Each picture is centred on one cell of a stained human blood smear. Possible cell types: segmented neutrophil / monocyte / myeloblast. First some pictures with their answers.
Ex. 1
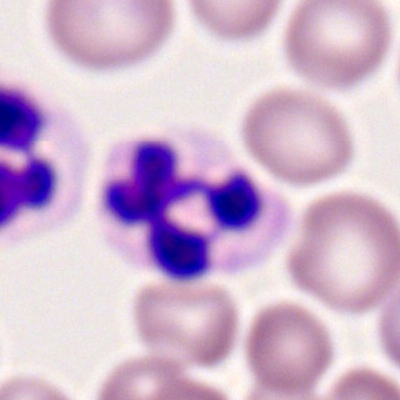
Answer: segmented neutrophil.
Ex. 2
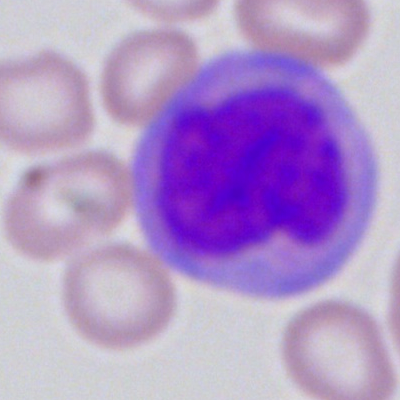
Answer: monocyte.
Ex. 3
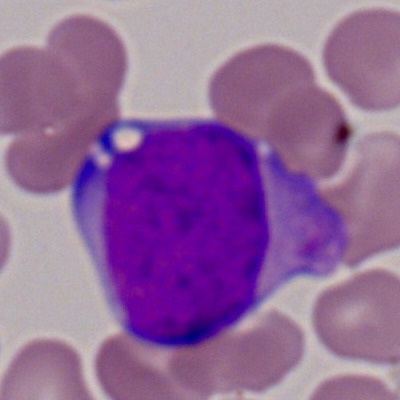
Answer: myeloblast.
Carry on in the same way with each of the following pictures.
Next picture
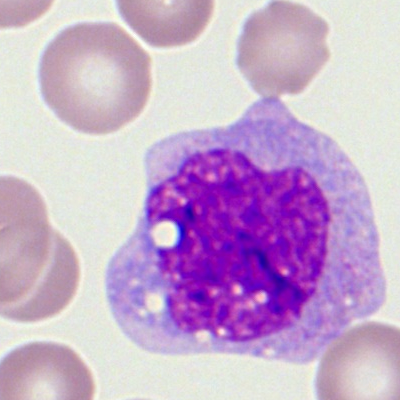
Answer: monocyte.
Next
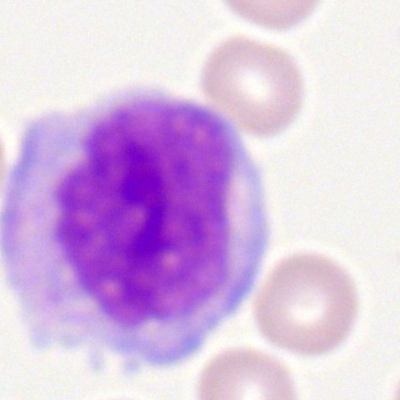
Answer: monocyte.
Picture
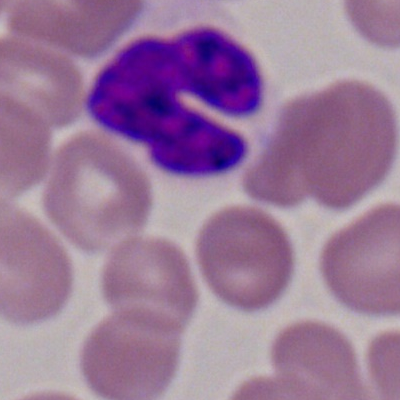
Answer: segmented neutrophil.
